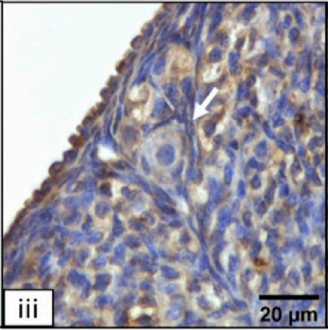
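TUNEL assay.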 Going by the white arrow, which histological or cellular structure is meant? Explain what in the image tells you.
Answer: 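Primordial follicle. A small oocyte with a large round nucleus and pale cytoplasm lies at the arrow. The oocyte is enclosed by a thin rim of flattened cells.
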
